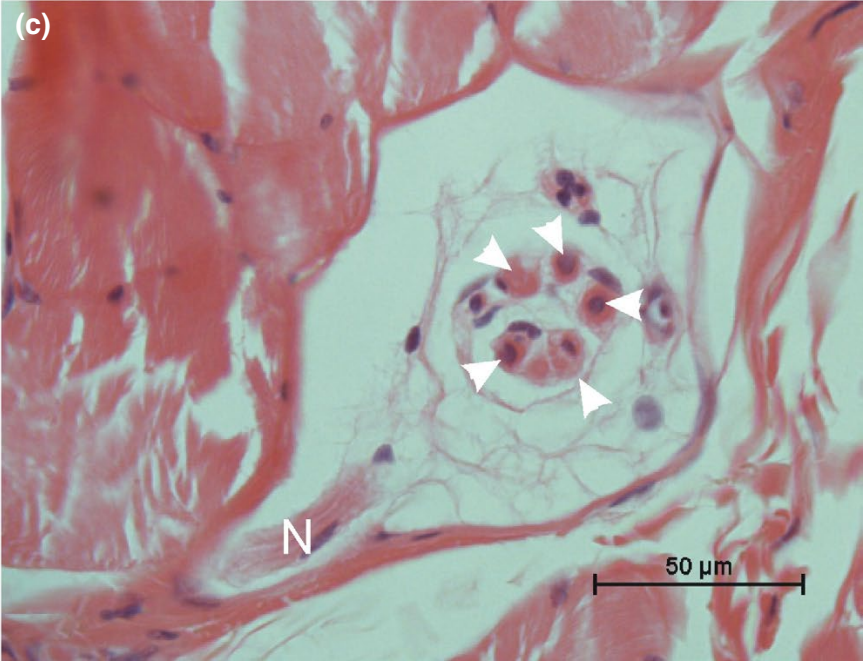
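Skeletal muscle in cross-section with a muscle spindle between large pink extrafusal fibers. The spindle has a thin outer capsule enclosing a wide pale space crossed by fine wispy strands. Flattened dark nuclei line the inner sheath and capsule, and a few round cells sit in the clear space. A pale wavy nerve bundle with elongated nuclei enters the capsule from the lower left. Extrafusal fibers are far larger, with peripheral flattened nuclei.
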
